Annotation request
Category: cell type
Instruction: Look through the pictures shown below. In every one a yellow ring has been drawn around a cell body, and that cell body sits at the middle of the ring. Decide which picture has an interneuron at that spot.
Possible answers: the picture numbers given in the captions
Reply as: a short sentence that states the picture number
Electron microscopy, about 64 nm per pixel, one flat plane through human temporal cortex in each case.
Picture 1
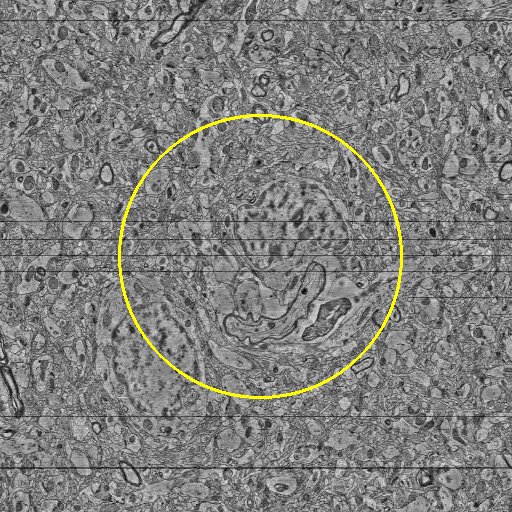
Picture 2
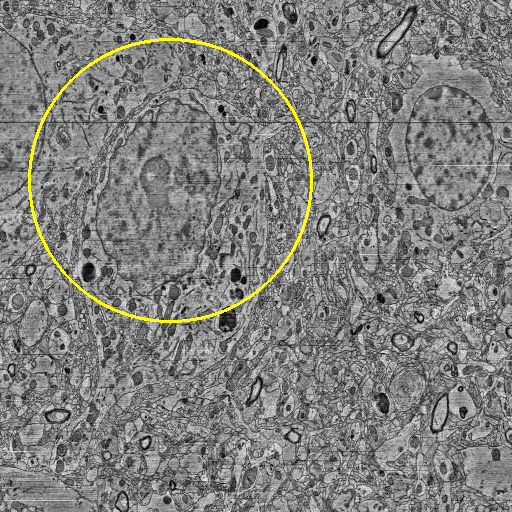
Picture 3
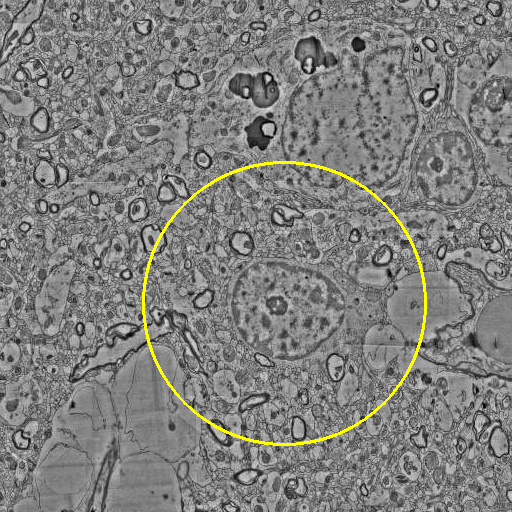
It is in Picture 2.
